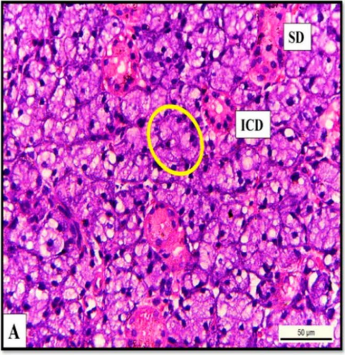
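This is salivary gland tissue with closely packed acini of secretory cells, whose cytoplasm is pale and foamy and whose dark nuclei sit towards the base. Among the acini lie ducts lined by cells with pinker cytoplasm, the larger ones cut in cross-section with a central lumen.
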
